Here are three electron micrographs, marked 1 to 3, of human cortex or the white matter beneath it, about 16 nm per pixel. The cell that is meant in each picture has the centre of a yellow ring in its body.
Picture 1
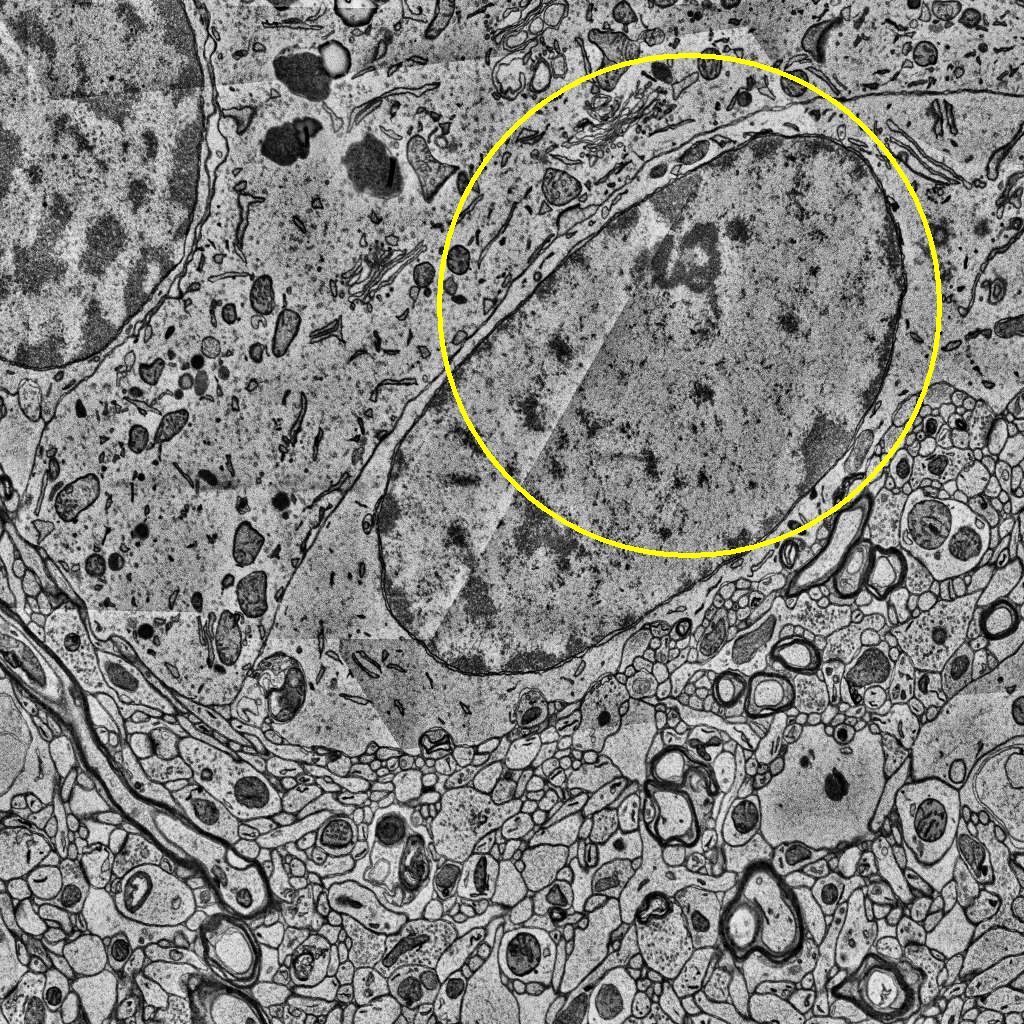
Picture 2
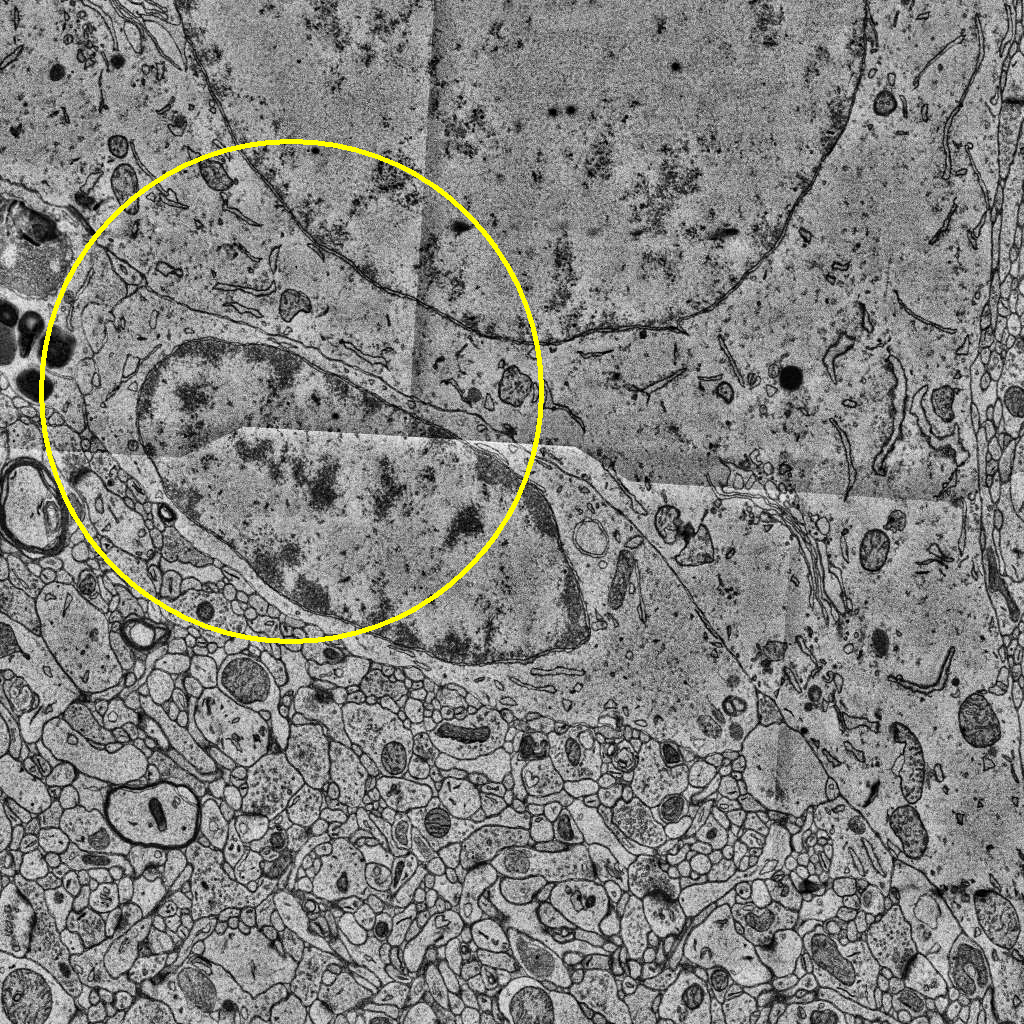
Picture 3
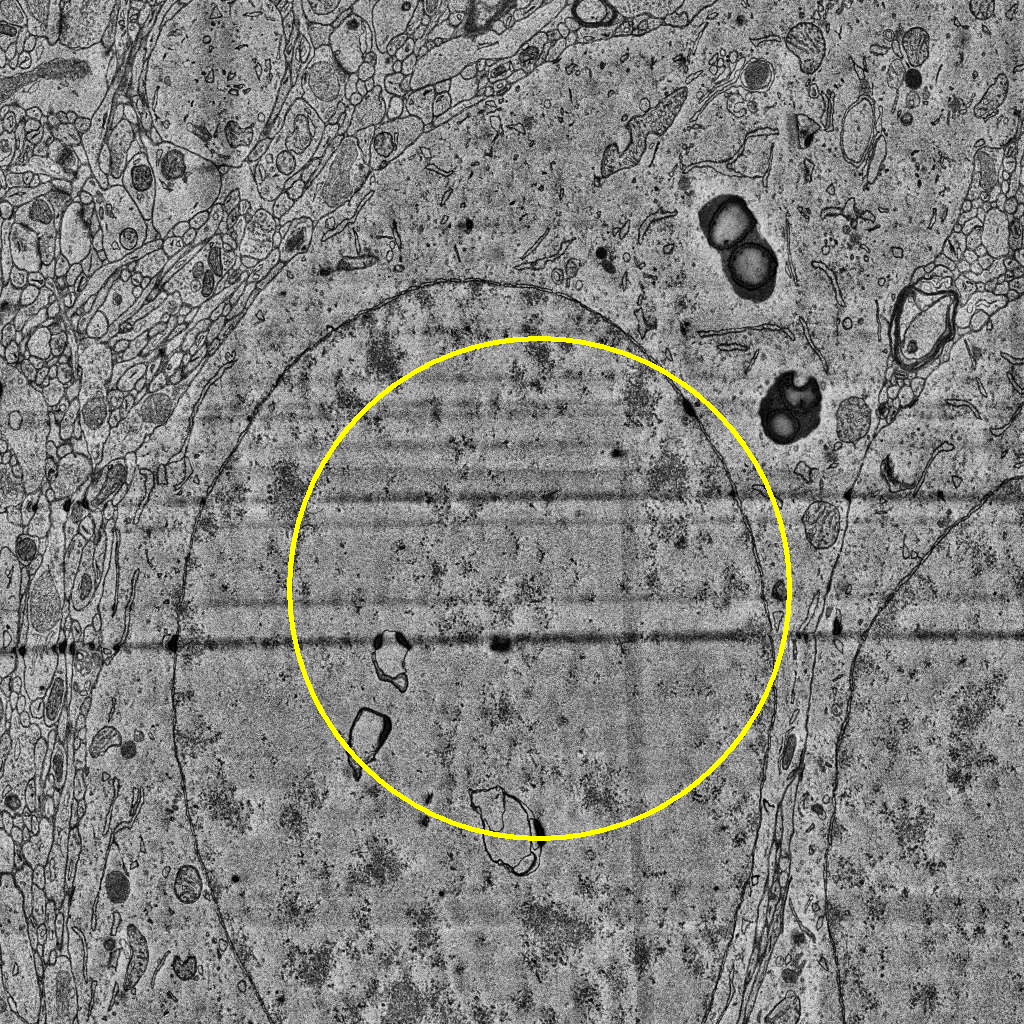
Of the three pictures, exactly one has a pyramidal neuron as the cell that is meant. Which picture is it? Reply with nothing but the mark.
3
